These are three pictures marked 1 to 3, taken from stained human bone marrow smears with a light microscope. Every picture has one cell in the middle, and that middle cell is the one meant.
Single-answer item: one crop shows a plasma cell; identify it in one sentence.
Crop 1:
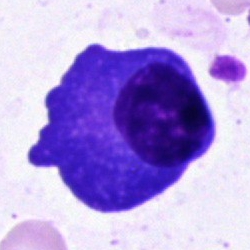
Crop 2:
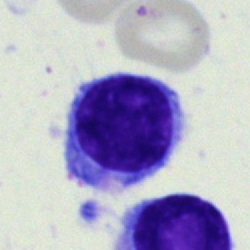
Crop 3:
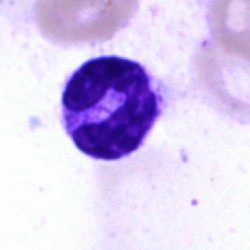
Crop 1, and no other, shows a plasma cell.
